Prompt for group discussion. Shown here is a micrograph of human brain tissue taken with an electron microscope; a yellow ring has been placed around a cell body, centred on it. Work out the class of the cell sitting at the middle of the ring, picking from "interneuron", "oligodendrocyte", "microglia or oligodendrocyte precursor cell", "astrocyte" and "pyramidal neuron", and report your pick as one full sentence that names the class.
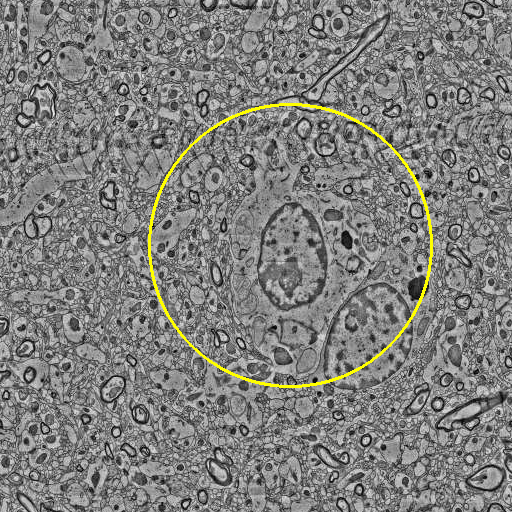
The cell sitting at the middle of the yellow ring is an astrocyte.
